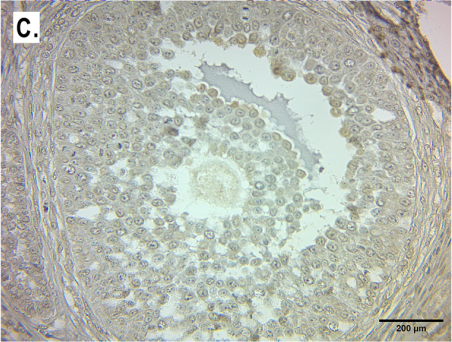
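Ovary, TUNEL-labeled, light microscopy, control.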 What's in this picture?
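This is a large ovarian follicle with an antrum, made up of many layers of granulosa cells around an oocyte and bounded by theca cells. A wide crescent-shaped clear cavity curves through the granulosa cell layers. The oocyte sits beside the cavity on a mound of surrounding cells. At the border, a thin line separates the granulosa layers from flattened outer cells with elongated nuclei.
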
